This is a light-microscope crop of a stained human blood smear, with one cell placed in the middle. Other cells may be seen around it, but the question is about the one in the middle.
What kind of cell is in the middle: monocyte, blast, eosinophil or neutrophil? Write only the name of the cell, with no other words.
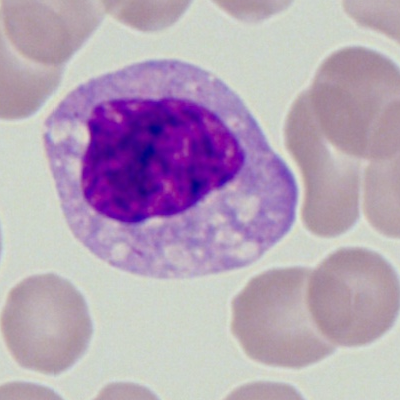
monocyte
